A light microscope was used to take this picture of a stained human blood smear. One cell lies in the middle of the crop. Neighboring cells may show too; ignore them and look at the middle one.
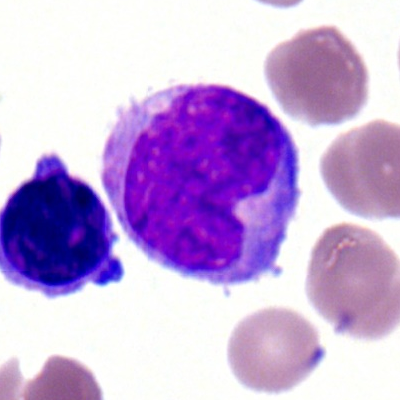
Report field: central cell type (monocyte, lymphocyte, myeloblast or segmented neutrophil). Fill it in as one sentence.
The cell that lies at the centre of the crop is a monocyte.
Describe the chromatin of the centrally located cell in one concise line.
The chromatin is fine, with no coarse clumping anywhere.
